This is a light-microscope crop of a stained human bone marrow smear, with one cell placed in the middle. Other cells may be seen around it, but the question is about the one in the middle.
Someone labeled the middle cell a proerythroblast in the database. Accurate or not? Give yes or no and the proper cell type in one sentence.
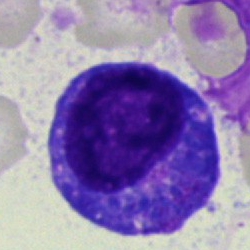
No, the central cell is not a proerythroblast, being instead a promyelocyte.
